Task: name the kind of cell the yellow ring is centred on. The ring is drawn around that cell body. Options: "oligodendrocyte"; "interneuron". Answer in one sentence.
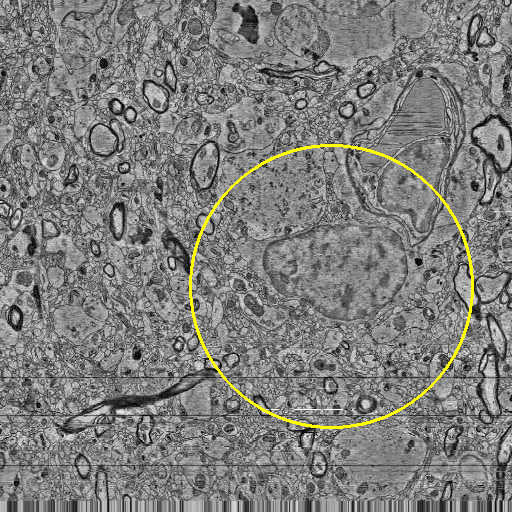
This cell body belongs to an oligodendrocyte.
